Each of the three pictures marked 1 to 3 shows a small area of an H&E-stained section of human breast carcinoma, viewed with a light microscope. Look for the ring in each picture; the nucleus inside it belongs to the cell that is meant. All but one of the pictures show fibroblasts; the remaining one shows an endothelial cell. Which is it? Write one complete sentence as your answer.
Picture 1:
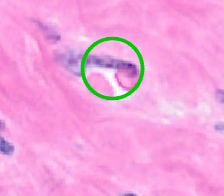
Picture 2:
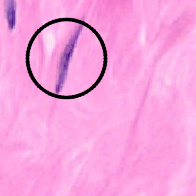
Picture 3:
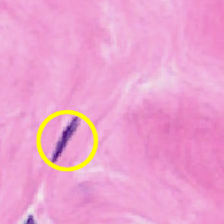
Picture 1 is the one that shows the endothelial cell.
